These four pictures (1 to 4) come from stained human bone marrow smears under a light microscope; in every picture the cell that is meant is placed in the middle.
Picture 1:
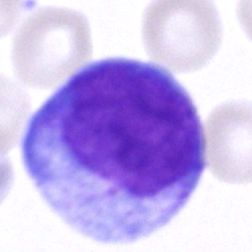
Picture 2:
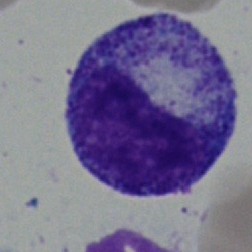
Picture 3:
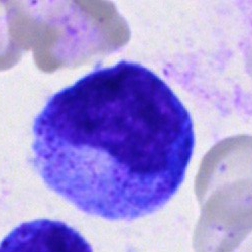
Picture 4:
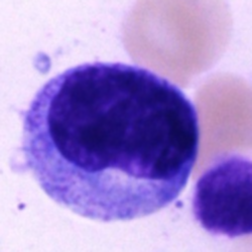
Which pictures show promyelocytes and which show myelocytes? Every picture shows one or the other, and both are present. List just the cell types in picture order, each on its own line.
promyelocyte
myelocyte
promyelocyte
promyelocyte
